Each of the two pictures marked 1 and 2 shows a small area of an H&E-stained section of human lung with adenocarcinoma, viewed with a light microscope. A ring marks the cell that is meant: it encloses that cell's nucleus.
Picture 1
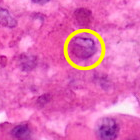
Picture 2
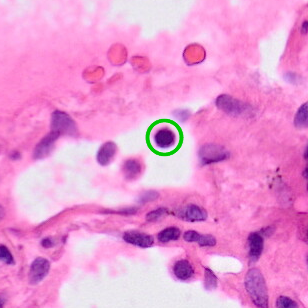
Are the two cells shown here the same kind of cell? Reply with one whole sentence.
No; the cell in picture 1 is a “macrophage or monocyte”, while the one in picture 2 is a lymphocyte.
